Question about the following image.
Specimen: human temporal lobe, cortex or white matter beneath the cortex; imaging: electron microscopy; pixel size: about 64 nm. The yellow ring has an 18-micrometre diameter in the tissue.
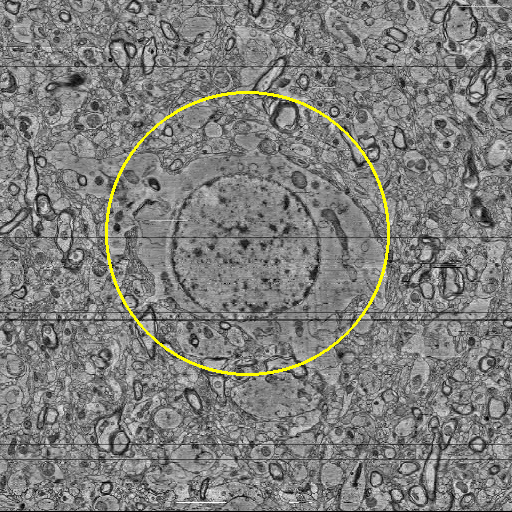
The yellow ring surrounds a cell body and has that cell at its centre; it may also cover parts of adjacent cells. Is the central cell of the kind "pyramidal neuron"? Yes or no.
No, it is of another kind.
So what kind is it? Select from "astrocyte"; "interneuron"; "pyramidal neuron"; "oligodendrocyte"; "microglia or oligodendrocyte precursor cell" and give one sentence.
The ringed cell in this picture is, instead, an astrocyte.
